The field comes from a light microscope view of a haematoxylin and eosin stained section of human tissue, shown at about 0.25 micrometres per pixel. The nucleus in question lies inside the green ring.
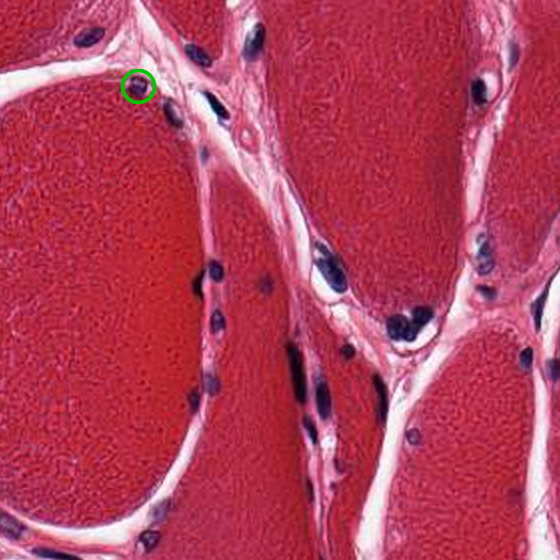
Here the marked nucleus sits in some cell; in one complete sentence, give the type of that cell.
The cell to which the marked nucleus belongs is a skeletal muscle fibre.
